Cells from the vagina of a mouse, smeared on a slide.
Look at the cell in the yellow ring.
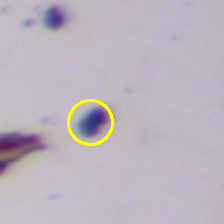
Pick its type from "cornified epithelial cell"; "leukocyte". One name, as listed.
leukocyte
